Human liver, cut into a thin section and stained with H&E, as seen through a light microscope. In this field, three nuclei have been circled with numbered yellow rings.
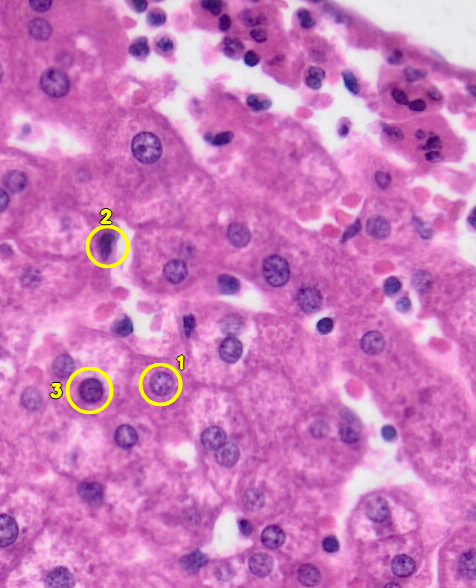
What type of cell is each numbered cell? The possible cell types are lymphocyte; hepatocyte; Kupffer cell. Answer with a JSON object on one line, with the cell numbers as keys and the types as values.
{"1": "hepatocyte", "2": "Kupffer cell", "3": "hepatocyte"}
